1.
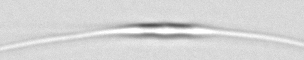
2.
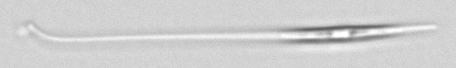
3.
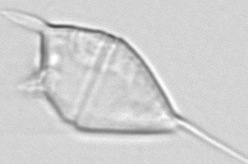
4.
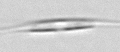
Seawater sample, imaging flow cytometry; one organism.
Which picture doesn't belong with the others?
Picture 3.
